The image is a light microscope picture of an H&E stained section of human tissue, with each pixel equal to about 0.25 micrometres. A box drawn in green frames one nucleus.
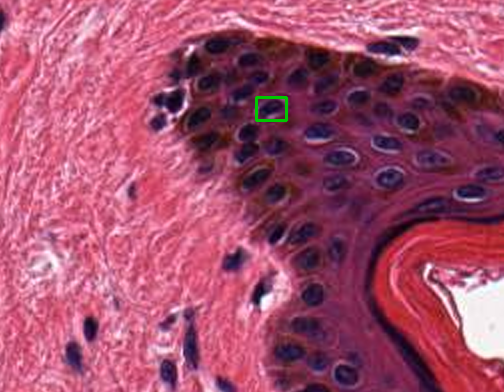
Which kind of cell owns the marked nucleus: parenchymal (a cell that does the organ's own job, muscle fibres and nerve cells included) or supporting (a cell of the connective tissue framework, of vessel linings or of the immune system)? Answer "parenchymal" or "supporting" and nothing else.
parenchymal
